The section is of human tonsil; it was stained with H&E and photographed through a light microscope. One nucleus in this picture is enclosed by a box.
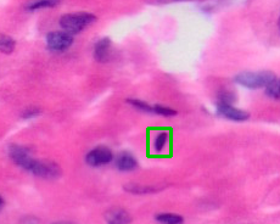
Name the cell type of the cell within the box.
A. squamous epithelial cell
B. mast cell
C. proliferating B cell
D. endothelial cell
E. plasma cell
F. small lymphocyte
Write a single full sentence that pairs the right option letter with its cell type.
Option B describes the cell within the box accurately as a mast cell.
